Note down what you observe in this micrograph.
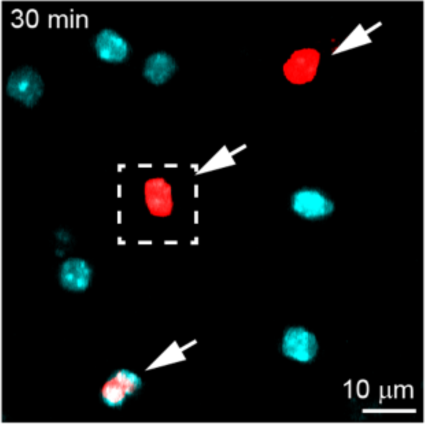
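The nuclei are small, compact and oval to round, lying singly and well apart from one another on a dark background. Three nuclei indicated by arrows stand out: two are filled uniformly with red and one shows red mixed with some remaining cyan. The neighbouring cyan nuclei keep their rounded shape and show no red.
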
